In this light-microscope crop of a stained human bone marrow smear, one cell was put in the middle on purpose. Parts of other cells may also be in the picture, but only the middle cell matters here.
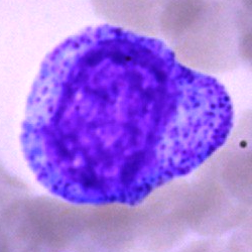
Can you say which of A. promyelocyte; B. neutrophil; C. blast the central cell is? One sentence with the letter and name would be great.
Option A gives the correct identity of the central cell, namely a promyelocyte.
